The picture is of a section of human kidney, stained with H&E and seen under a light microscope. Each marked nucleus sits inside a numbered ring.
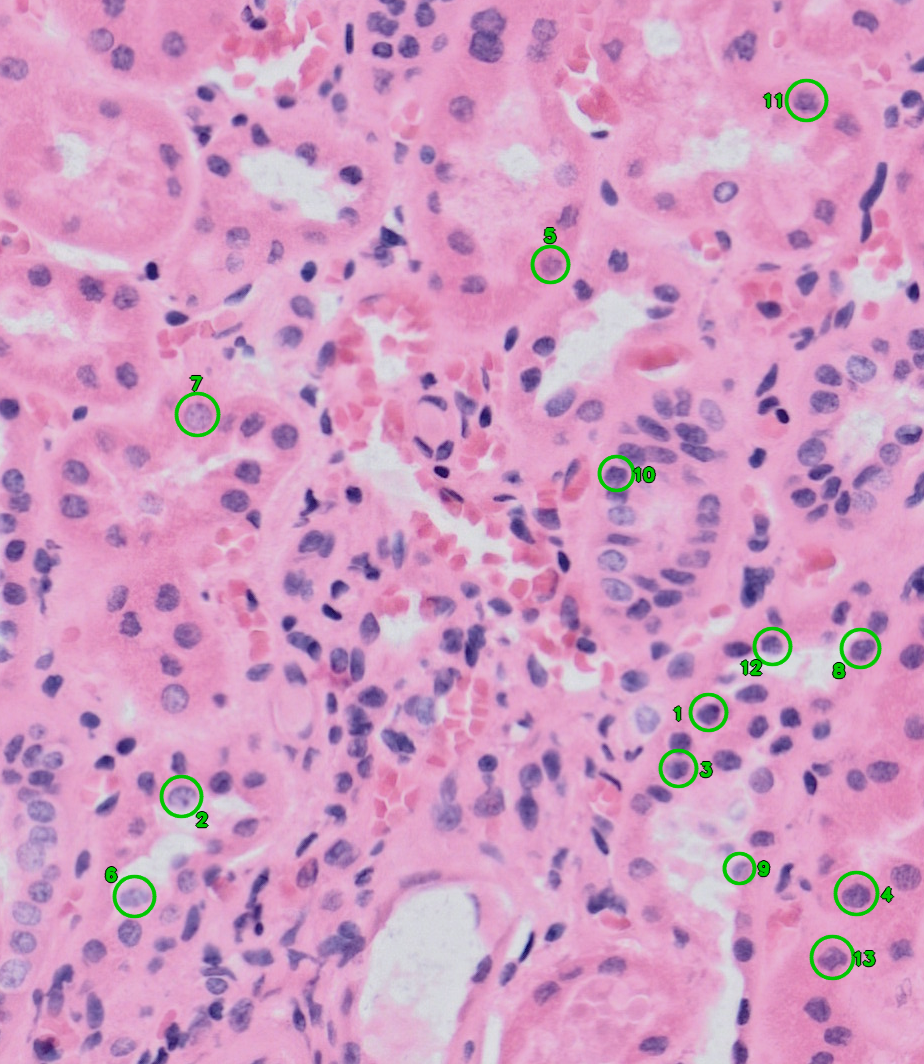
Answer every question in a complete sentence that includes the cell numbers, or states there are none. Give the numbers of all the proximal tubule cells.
Cells 4, 5, 7, 11 and 13 share one type; they are proximal tubule cells.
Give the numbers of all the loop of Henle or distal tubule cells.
In terms of cell type, cells 1, 2, 3, 6, 8, 9 and 12 are loop of Henle or distal tubule cells.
